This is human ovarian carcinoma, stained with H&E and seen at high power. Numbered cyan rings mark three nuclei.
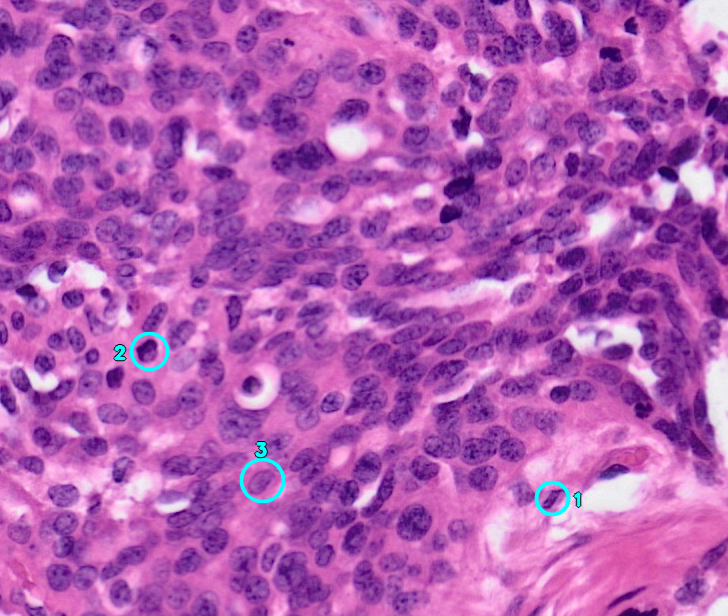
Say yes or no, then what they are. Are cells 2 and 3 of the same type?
No, unlike cell 3, which is a carcinoma cell, cell 2 is a macrophage or monocyte.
